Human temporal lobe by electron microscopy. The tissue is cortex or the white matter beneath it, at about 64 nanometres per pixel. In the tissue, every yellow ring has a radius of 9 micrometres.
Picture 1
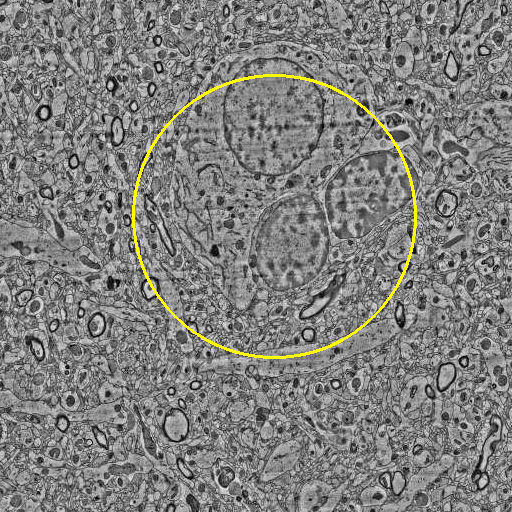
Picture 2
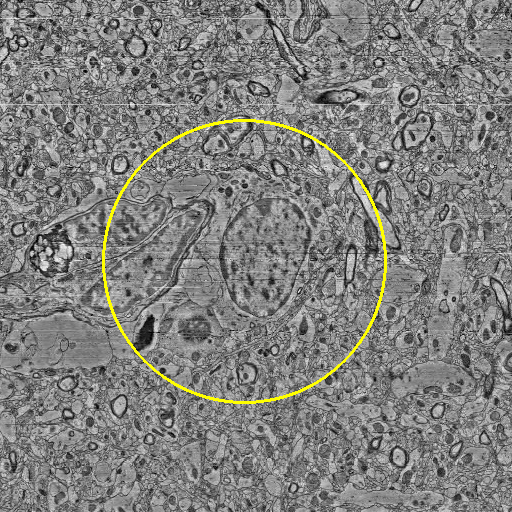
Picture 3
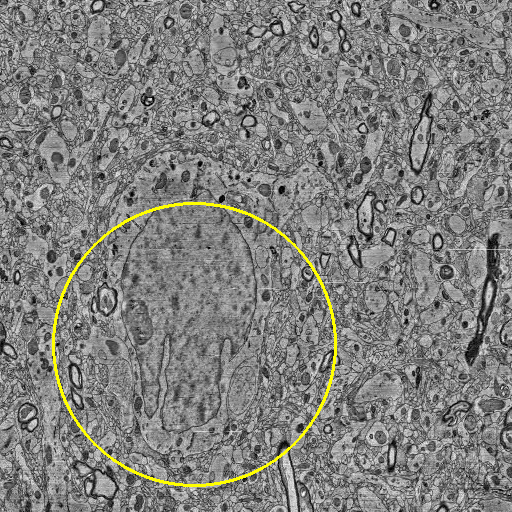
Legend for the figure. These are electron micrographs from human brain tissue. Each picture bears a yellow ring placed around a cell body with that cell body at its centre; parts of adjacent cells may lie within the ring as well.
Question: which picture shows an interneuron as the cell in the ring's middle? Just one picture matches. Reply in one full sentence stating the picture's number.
It is picture 3 whose yellow ring is centred on the requested cell.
